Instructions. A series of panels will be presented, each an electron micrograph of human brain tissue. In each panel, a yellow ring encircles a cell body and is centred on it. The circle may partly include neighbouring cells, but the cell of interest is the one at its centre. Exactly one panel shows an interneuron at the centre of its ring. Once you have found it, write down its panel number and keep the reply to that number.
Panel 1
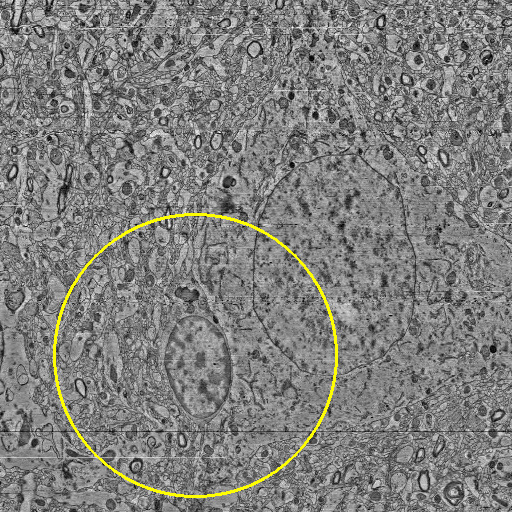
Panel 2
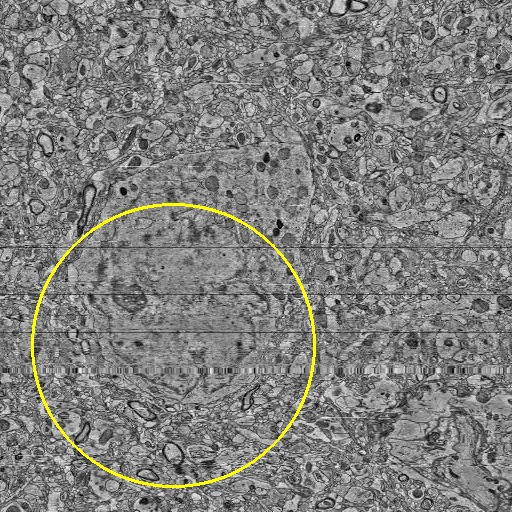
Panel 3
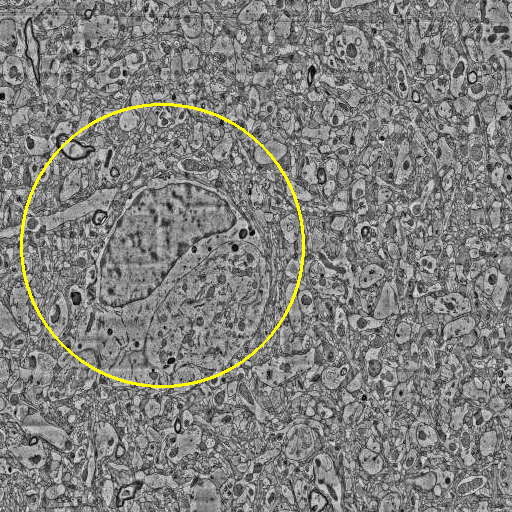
2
